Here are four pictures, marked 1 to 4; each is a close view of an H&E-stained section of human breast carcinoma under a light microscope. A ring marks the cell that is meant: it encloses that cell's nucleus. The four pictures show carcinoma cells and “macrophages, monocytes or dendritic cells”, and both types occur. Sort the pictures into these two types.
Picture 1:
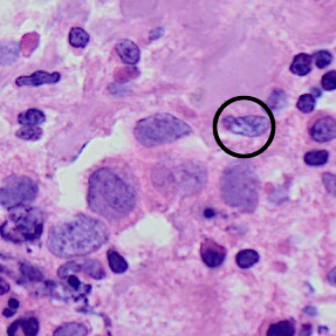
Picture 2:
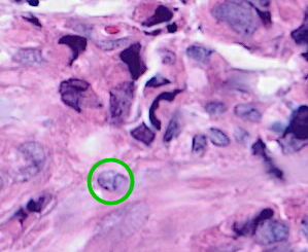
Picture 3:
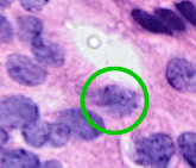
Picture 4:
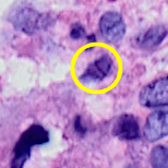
1: macrophage, monocyte or dendritic cell
2: macrophage, monocyte or dendritic cell
3: carcinoma cell
4: macrophage, monocyte or dendritic cell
